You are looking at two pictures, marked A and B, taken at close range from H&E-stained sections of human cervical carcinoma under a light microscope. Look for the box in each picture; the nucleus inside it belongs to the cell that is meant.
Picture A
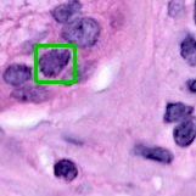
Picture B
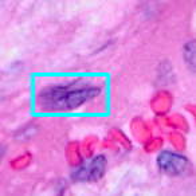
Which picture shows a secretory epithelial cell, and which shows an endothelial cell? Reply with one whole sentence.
Picture A shows a secretory epithelial cell and picture B shows an endothelial cell.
